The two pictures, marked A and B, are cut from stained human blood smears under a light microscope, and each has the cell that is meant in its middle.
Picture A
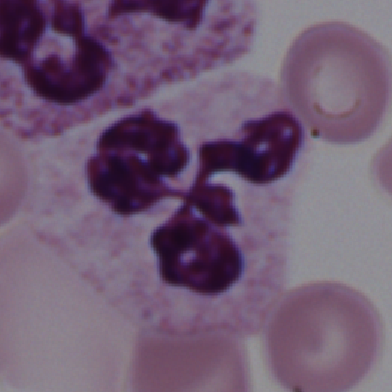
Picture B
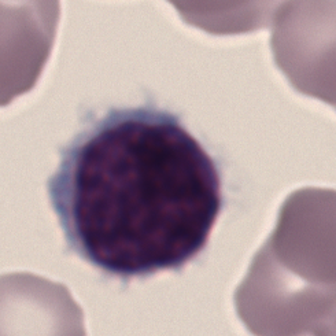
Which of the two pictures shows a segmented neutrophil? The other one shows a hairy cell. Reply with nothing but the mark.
A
